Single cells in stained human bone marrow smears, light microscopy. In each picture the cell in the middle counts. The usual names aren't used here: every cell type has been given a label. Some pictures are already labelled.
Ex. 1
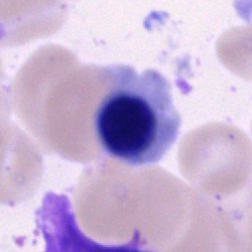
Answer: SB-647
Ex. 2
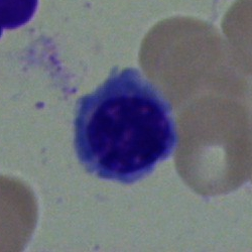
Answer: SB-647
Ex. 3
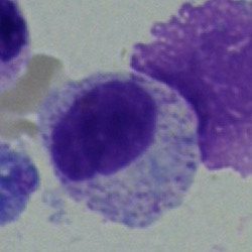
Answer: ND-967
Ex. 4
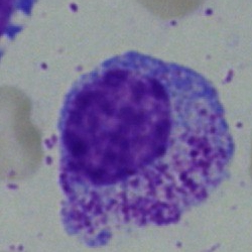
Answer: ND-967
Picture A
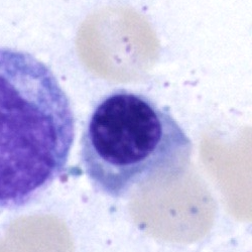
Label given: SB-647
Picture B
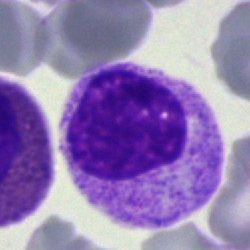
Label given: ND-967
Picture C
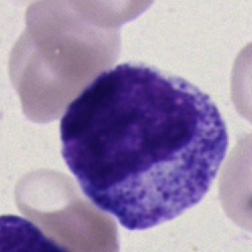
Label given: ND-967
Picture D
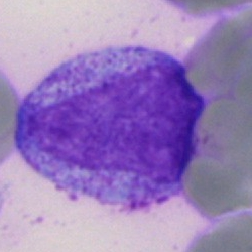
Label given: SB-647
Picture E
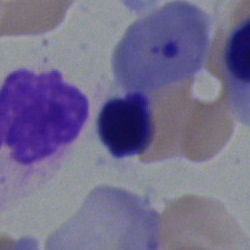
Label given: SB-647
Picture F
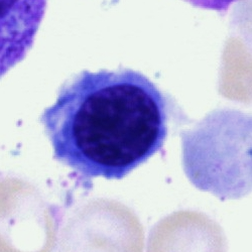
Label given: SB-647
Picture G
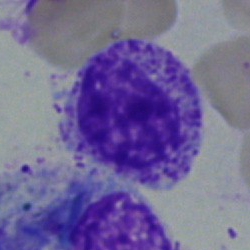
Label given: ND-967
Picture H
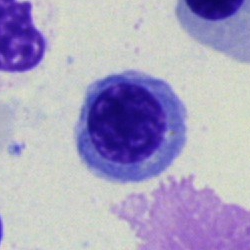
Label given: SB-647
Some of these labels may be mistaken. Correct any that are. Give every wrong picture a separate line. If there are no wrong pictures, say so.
D: change SB-647 to ND-967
